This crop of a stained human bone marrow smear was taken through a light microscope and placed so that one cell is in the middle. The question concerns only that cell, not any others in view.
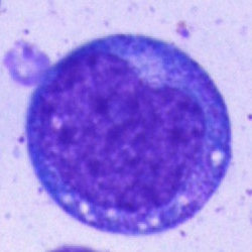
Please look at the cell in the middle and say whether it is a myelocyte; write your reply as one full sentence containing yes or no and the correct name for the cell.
No, that guess of a myelocyte misses; the central cell is a promyelocyte.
